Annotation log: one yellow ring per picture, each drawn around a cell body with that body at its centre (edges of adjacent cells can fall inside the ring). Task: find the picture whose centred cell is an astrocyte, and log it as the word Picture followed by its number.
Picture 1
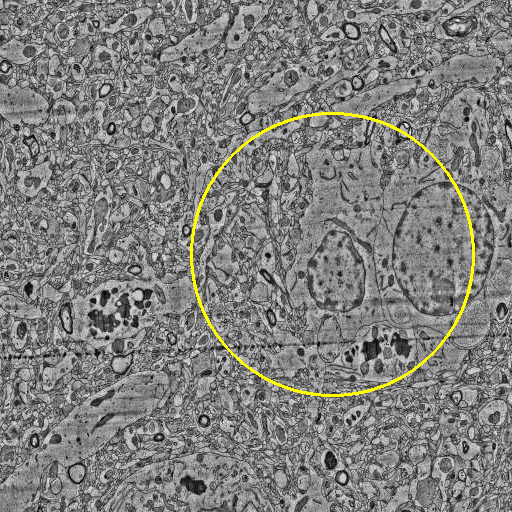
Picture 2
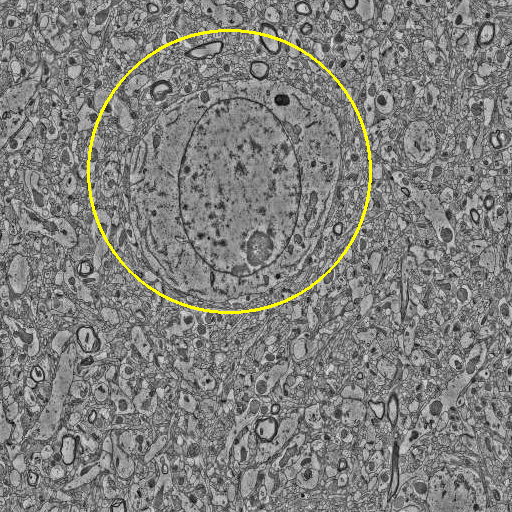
Picture 1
